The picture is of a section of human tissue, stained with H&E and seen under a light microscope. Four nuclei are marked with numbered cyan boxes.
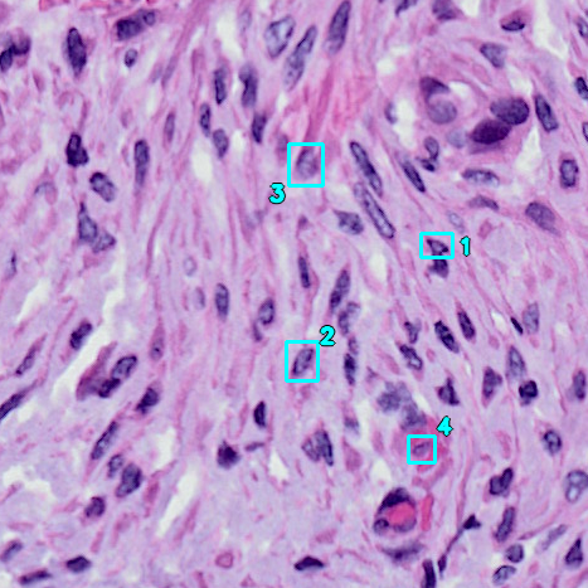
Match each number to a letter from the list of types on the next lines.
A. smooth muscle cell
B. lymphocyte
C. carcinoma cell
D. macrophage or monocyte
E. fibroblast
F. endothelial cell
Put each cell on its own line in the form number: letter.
1: E
2: E
3: E
4: F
